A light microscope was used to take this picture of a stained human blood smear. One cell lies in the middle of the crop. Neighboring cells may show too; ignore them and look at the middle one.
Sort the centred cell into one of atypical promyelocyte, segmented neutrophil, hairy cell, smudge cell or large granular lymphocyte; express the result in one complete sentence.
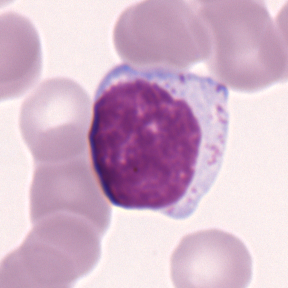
The centrally placed cell is classified as a large granular lymphocyte.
